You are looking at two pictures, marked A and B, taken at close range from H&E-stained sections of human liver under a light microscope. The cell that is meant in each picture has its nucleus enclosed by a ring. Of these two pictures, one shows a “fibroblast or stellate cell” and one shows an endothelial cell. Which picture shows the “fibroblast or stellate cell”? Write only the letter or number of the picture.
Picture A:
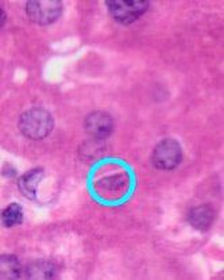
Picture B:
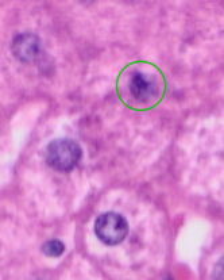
A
